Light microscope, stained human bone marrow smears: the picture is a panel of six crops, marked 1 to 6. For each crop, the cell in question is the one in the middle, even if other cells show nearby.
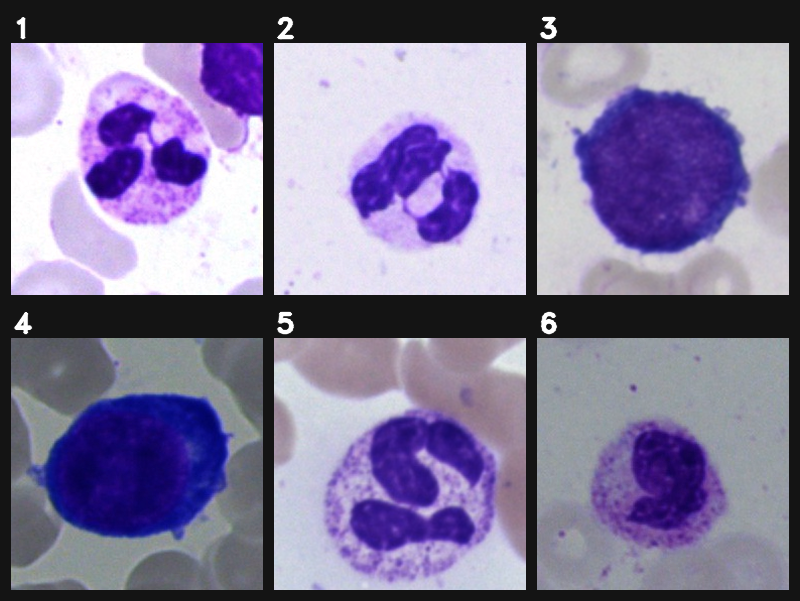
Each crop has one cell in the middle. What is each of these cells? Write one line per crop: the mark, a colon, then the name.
1: segmented neutrophil
2: segmented neutrophil
3: proerythroblast
4: proerythroblast
5: segmented neutrophil
6: segmented neutrophil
